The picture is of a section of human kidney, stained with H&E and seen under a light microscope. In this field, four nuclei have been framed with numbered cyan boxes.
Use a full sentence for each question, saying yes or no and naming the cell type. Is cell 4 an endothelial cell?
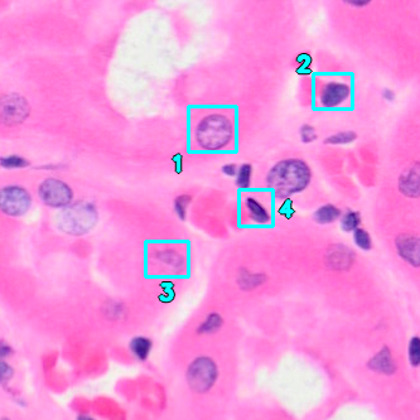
Yes, the cell sitting at number 4 is an endothelial cell.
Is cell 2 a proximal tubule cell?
No, the cell at marker 2 is not a proximal tubule cell; it is an endothelial cell.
